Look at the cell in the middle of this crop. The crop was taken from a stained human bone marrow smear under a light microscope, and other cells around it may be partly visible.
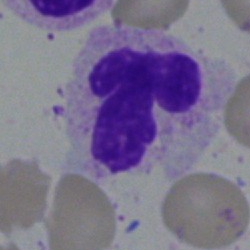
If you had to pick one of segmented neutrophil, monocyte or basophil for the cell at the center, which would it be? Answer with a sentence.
The cell at the central position in this crop is a segmented neutrophil.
